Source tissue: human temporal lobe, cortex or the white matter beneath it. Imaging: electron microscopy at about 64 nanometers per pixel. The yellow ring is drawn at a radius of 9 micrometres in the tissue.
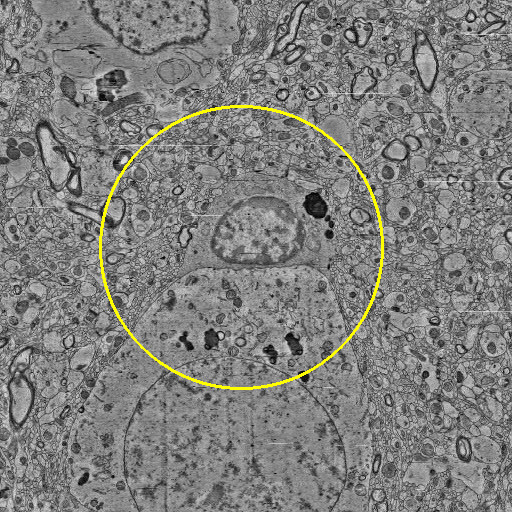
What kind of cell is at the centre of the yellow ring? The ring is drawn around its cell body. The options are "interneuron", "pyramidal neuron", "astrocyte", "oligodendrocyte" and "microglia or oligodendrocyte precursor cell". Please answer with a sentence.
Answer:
The yellow ring marks the cell body of an oligodendrocyte.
